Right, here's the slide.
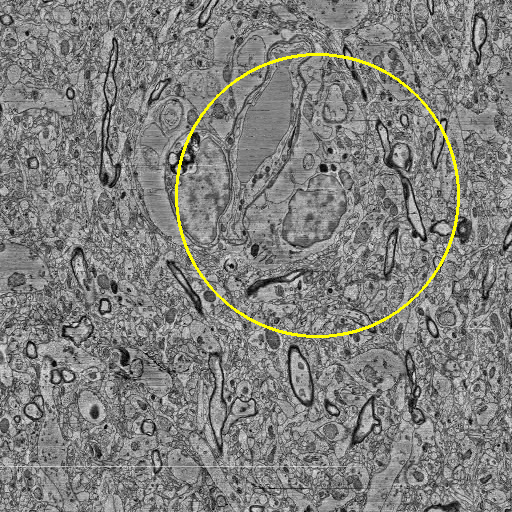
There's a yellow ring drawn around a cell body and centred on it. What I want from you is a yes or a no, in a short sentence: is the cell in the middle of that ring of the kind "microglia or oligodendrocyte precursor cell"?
Yes, it's of that kind.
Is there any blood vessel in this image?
Yes, one is visible.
